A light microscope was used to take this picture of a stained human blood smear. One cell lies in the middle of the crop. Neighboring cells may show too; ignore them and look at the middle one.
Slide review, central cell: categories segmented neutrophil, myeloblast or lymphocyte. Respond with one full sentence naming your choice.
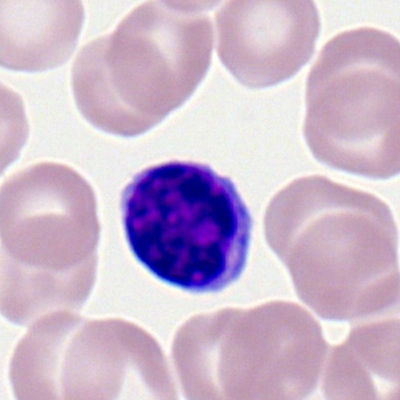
Framed in the middle of the crop is a lymphocyte.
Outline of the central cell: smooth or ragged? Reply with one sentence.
The edge of the cell is unbroken and smooth, bearing no projections.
